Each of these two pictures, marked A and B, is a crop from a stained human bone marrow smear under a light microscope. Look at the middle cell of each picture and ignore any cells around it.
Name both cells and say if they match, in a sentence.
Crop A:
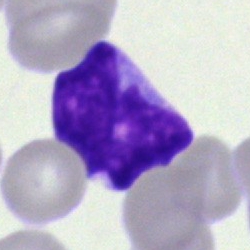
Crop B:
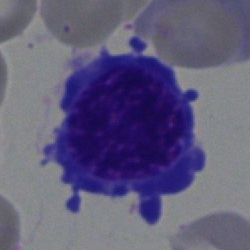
No, a normoblast is depicted in crop B, whereas a blast is depicted in crop A.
